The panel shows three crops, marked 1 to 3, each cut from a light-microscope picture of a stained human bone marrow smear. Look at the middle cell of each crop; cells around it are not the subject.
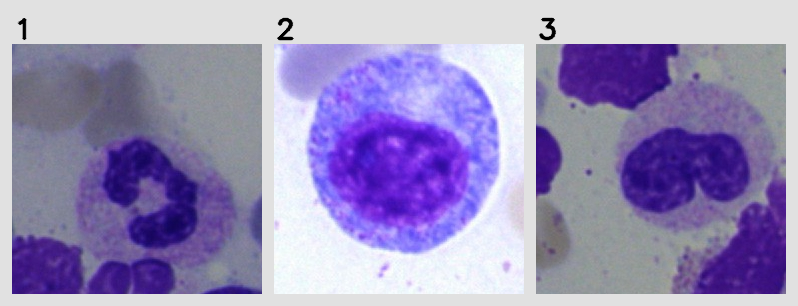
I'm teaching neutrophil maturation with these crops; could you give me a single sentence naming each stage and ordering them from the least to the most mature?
The least to most mature ordering of the crops is crop 2 (a promyelocyte), crop 3 (a band neutrophil) and crop 1 (a segmented neutrophil).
